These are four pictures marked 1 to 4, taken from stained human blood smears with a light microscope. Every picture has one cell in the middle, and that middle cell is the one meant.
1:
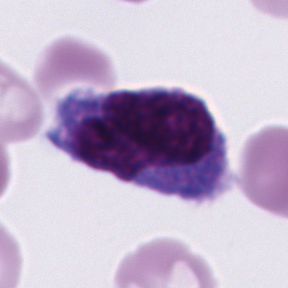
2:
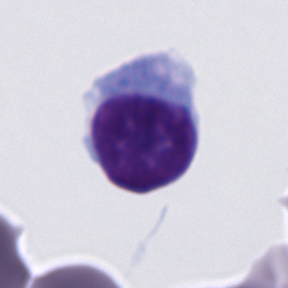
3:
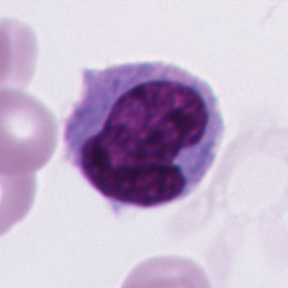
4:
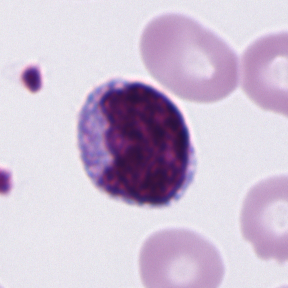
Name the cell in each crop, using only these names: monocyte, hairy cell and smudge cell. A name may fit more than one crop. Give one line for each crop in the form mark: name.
1: monocyte
2: hairy cell
3: monocyte
4: monocyte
